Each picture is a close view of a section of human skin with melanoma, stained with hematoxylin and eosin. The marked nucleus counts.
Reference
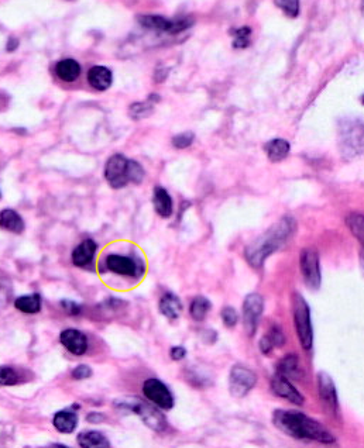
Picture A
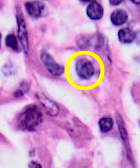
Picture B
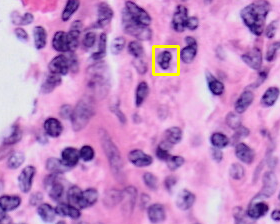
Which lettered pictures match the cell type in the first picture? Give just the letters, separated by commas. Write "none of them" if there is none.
none of them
